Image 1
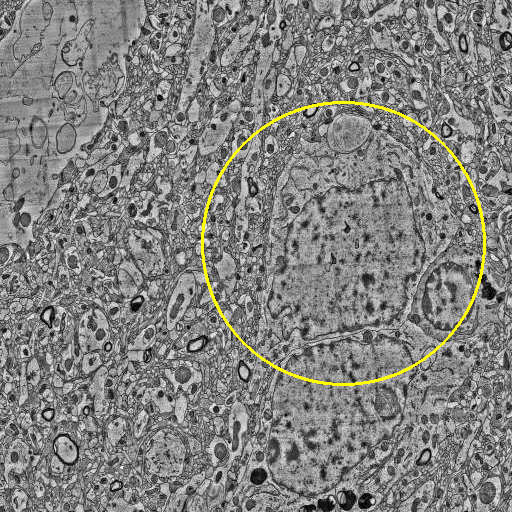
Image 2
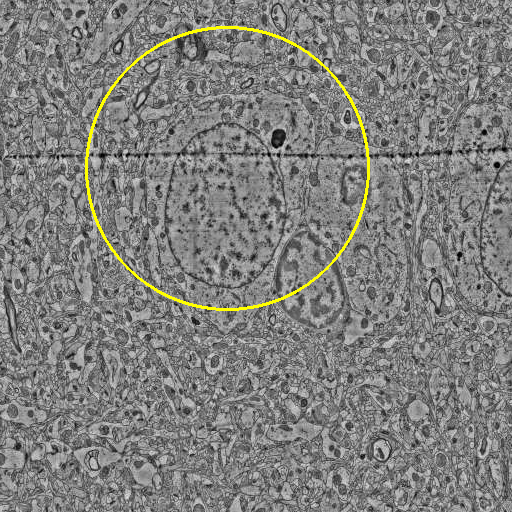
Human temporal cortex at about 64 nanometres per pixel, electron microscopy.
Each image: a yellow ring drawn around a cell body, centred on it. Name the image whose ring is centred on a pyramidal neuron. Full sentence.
That is Image 2.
